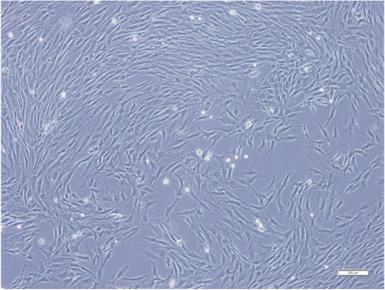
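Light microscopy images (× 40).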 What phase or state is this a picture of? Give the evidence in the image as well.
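Cells are elongated and spindle-shaped. Cells lie side by side in parallel, swirling arrays. Cells form a dense monolayer in the culture dish.
Answer: fibroblast-like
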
